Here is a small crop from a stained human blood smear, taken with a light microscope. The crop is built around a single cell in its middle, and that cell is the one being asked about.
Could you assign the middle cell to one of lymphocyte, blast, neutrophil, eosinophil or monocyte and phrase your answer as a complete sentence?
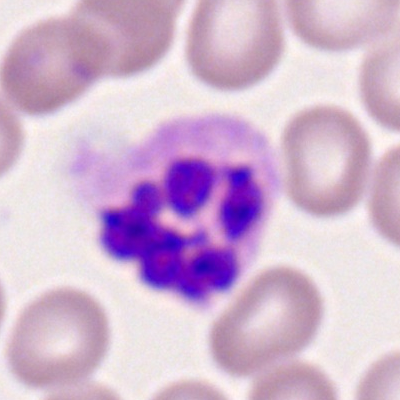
As for the cell in the middle, it is a neutrophil.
